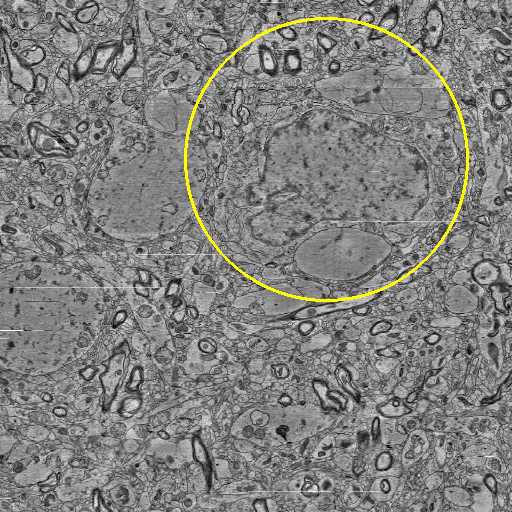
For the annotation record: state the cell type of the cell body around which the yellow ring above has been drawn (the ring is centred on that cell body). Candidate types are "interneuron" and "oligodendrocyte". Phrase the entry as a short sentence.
The ringed cell is an interneuron.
